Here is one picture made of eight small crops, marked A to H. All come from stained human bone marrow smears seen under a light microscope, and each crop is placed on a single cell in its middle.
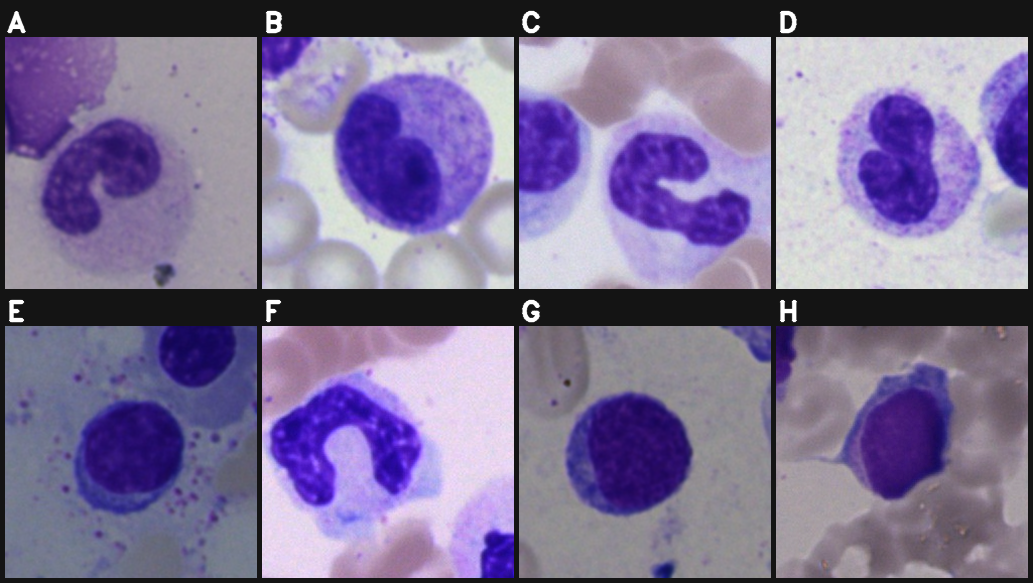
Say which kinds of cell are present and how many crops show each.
band neutrophil: 5
lymphocyte: 3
